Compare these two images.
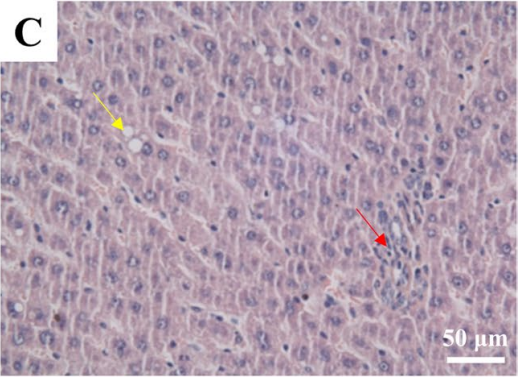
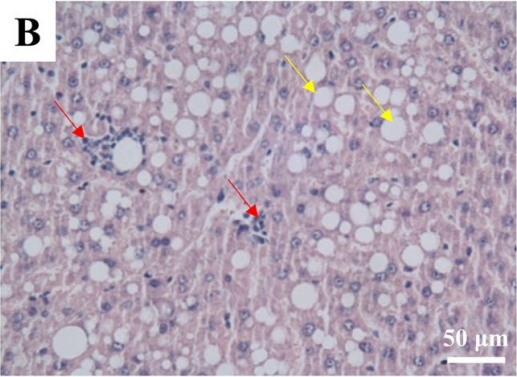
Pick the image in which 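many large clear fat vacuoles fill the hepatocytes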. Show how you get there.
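The second image. First image: hepatocyte cytoplasm is mostly solid pink, with only a few small clear vacuoles. Second image: numerous large round clear vacuoles are scattered throughout the hepatocytes.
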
